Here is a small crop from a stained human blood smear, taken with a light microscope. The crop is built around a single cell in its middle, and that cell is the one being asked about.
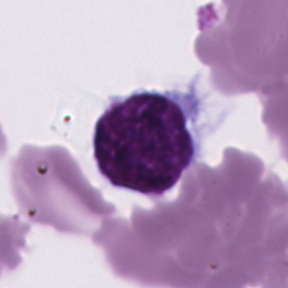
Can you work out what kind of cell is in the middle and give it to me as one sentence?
The middle cell in this particular crop is a hairy cell.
